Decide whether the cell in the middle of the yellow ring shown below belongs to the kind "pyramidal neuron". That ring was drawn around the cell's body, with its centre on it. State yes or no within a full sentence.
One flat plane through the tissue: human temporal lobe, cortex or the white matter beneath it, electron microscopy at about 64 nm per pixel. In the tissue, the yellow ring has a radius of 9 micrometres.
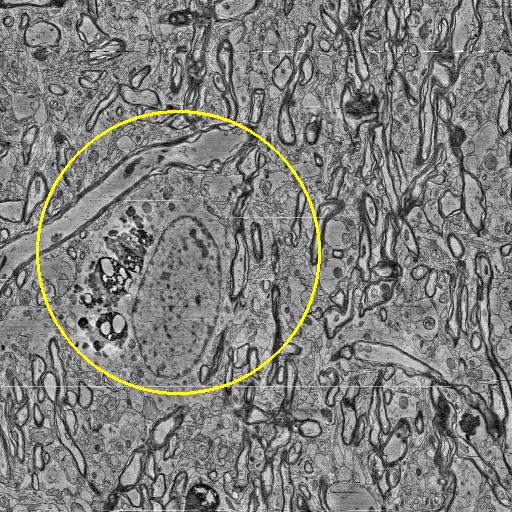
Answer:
No, the cell whose body lies at the ring's centre in the picture belongs to a different kind.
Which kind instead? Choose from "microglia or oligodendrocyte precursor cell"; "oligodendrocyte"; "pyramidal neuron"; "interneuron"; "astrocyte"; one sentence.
This picture has an astrocyte at the centre of its ring.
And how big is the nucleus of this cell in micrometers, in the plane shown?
At approximately 11 by 5 micrometres, the nucleus is clearly longer than it is wide in this plane.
